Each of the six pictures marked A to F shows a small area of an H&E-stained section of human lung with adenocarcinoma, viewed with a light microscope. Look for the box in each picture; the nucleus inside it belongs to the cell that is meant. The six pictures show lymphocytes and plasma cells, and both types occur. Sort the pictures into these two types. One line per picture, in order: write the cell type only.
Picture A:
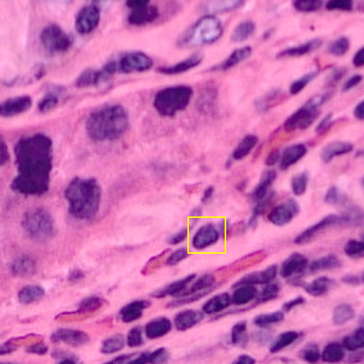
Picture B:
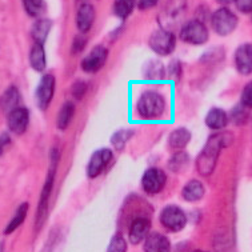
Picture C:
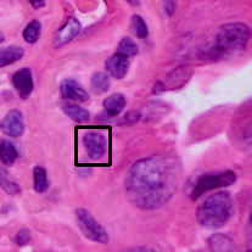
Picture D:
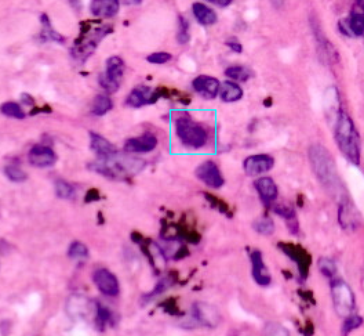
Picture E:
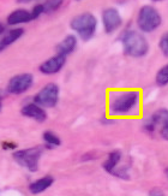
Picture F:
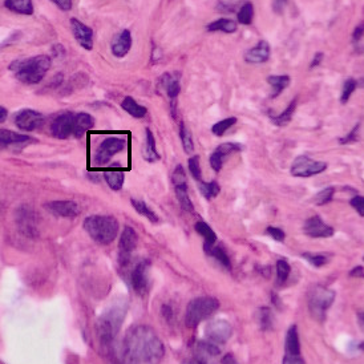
lymphocyte
lymphocyte
lymphocyte
plasma cell
lymphocyte
plasma cell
